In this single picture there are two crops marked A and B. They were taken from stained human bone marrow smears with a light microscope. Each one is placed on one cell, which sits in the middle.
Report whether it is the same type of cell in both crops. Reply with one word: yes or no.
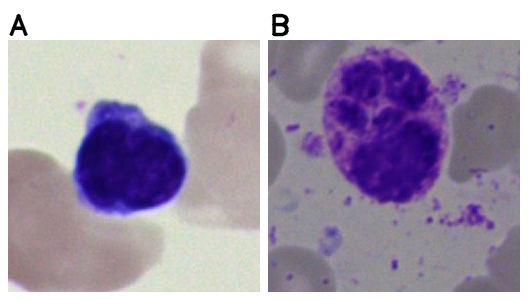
no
